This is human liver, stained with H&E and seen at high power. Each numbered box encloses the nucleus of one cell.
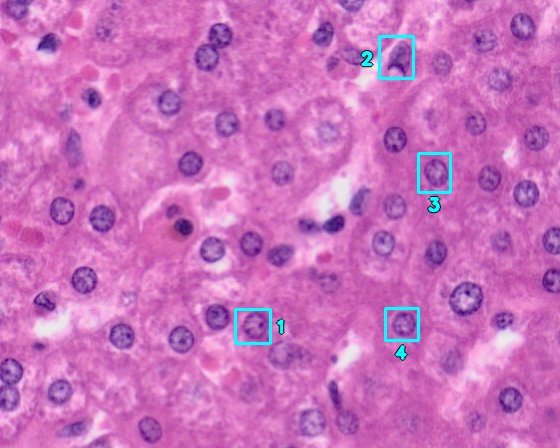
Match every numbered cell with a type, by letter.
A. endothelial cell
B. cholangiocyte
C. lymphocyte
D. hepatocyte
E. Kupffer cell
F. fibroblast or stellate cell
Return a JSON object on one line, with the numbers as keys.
{"1": "D", "2": "E", "3": "D", "4": "D"}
